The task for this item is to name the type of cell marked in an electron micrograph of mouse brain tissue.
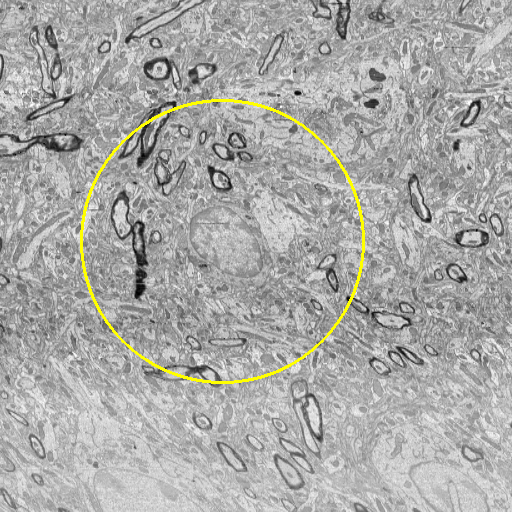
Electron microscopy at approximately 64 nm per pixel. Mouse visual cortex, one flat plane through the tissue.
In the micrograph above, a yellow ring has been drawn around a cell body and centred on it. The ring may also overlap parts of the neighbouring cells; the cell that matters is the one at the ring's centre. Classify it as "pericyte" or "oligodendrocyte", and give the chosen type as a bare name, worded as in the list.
oligodendrocyte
